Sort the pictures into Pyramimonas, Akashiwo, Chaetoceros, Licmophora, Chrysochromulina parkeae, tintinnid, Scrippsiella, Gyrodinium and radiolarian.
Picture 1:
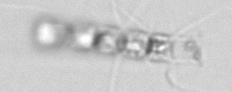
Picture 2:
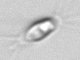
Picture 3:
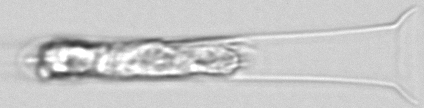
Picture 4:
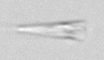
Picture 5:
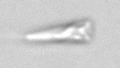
Chaetoceros: 1
Chrysochromulina parkeae: 2
Tintinnids: 3
Licmophora: 4, 5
